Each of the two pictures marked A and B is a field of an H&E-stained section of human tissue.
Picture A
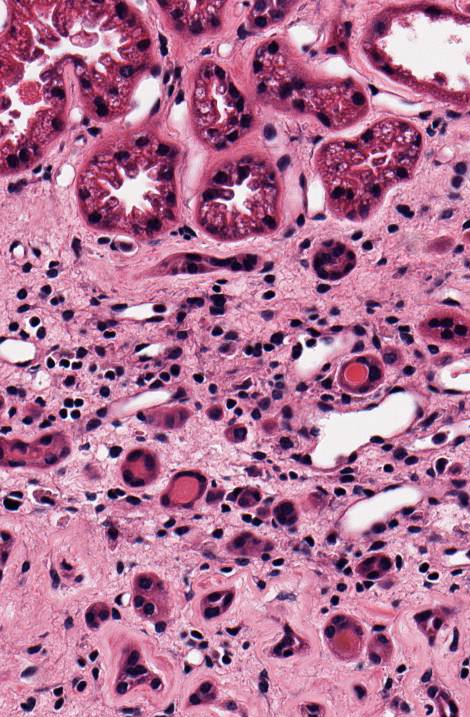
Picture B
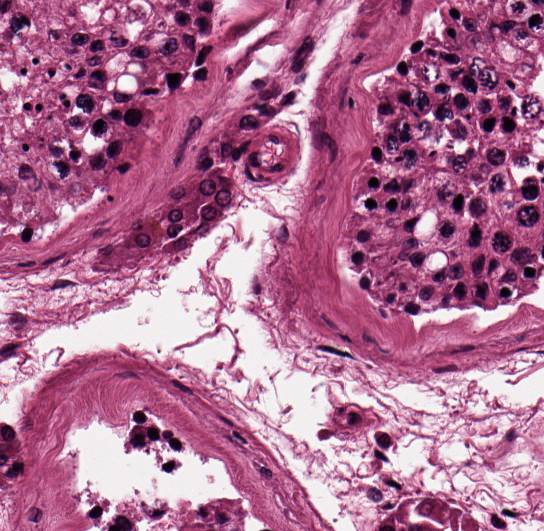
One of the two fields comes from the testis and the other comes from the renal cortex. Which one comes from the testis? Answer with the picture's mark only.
B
